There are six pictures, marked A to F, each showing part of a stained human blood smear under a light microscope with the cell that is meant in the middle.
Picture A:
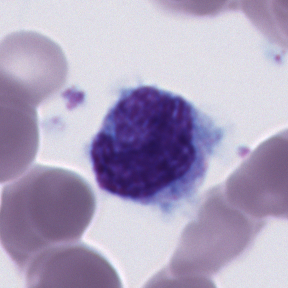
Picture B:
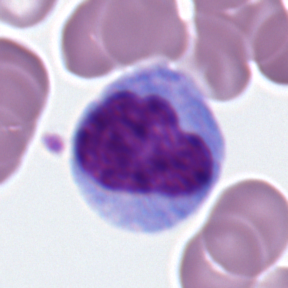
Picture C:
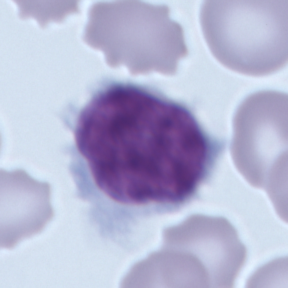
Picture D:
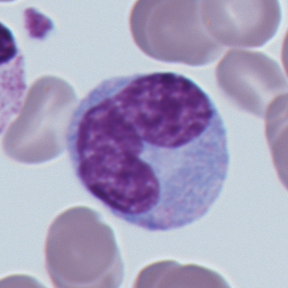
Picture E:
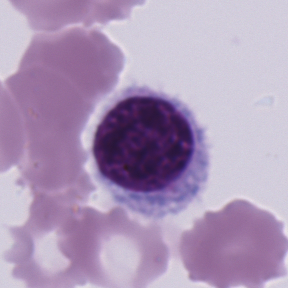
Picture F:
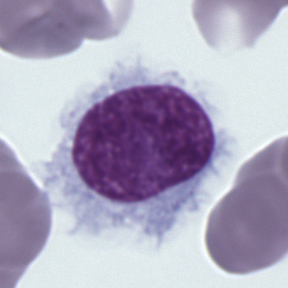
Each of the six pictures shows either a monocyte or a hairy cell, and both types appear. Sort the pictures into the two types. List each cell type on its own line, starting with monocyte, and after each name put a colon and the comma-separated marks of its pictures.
monocyte: A, B, D
hairy cell: C, E, F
